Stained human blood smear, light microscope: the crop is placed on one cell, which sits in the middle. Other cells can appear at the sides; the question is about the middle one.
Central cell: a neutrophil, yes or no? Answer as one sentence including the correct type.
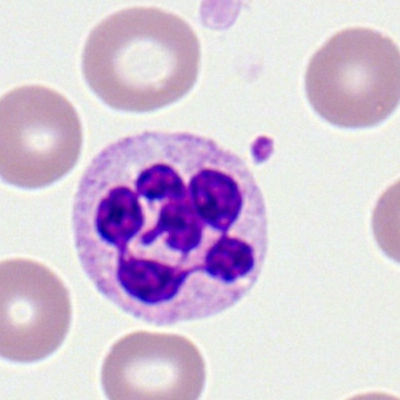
Yes, the cell positioned at the centre of the crop is a neutrophil.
